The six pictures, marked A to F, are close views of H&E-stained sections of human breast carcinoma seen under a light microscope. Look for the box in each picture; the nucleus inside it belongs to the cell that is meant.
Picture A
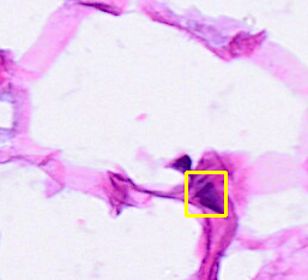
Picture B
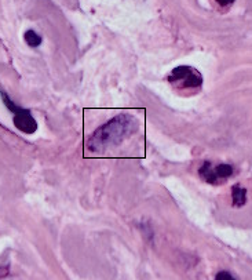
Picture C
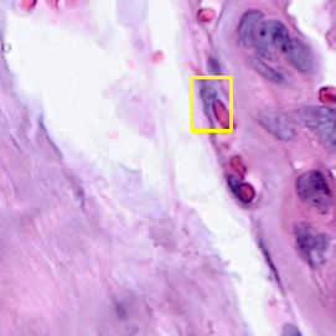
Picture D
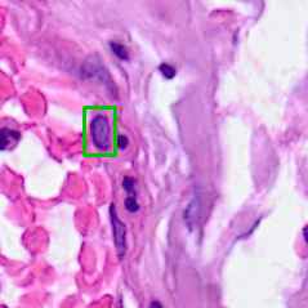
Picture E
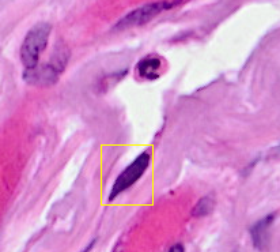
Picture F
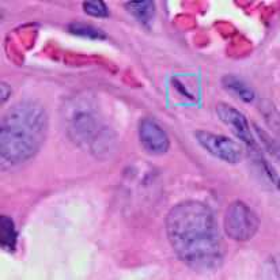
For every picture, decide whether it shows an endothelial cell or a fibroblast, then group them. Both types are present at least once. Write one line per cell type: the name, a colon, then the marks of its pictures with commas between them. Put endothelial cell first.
endothelial cell: A, C, D, F
fibroblast: B, E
